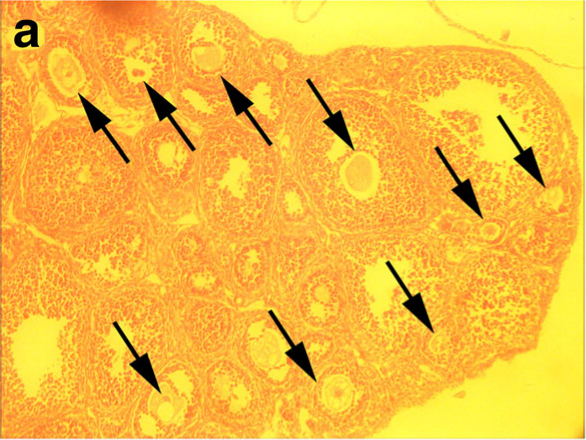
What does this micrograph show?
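This is a low-power section of ovary crowded with rounded follicles of many sizes, each a ball of small, densely packed cells staining pink-red, bounded by thin layers of flattened stromal cells. Several follicles hold a single large, pale, round cell near their centre or off to one side, ringed by a clear rim. Some of the larger follicles have open, fluid-filled spaces within their cell layers. Between the follicles lies loose stroma. The abundance of follicles at several stages, many with a distinct central egg cell, marks this as an ovary with an active follicle population.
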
